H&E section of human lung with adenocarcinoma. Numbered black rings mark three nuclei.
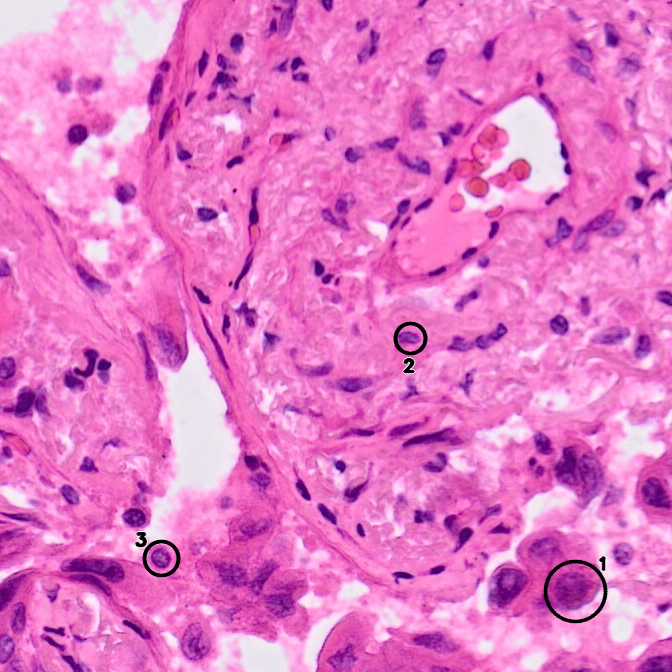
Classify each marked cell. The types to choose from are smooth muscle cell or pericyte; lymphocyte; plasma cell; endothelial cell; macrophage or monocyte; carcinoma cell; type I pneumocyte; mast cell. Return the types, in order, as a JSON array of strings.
["carcinoma cell", "smooth muscle cell or pericyte", "lymphocyte"]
